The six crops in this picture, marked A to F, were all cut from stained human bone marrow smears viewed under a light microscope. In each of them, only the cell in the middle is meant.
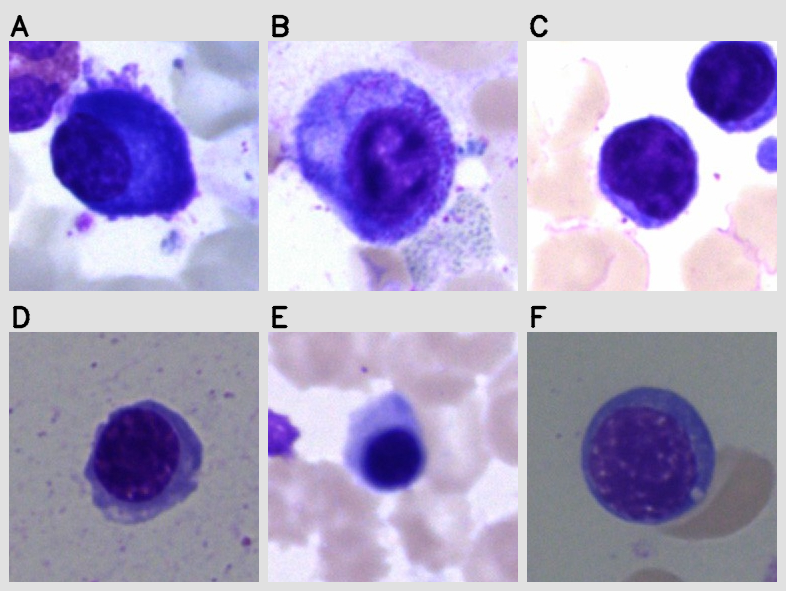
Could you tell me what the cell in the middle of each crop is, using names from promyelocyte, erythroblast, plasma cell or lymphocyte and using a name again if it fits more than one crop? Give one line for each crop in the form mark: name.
A: plasma cell
B: promyelocyte
C: lymphocyte
D: erythroblast
E: erythroblast
F: erythroblast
